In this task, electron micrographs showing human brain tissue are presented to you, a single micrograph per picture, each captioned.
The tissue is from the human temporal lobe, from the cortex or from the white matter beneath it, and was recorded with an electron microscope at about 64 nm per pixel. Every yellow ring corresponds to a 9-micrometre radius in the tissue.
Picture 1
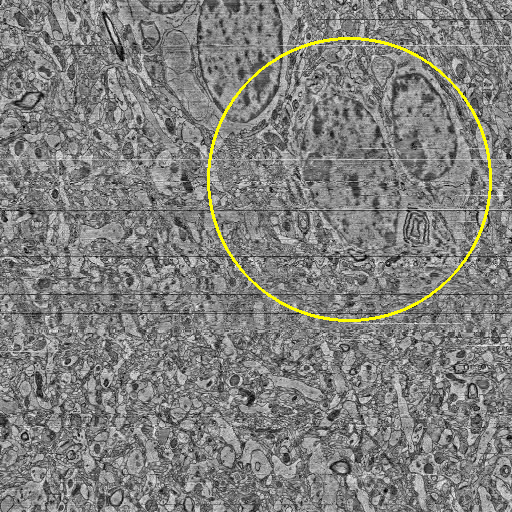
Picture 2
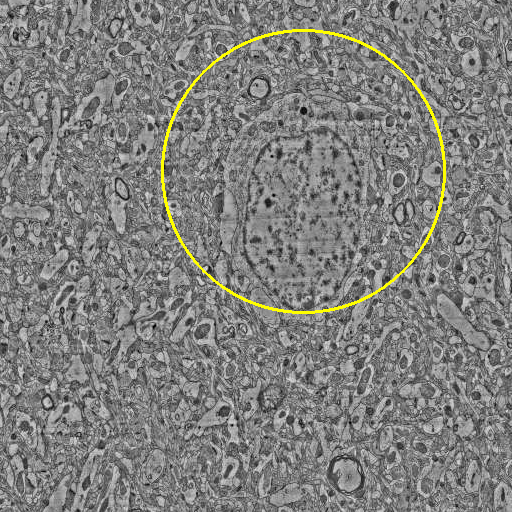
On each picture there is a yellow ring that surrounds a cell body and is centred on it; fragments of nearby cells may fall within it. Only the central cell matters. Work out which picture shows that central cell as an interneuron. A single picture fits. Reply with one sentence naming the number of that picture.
Of all the pictures, number 2 has the right cell in the centre of its ring.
